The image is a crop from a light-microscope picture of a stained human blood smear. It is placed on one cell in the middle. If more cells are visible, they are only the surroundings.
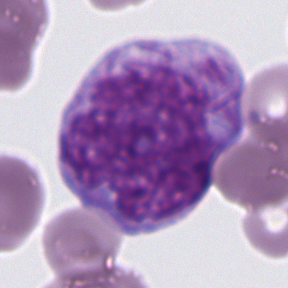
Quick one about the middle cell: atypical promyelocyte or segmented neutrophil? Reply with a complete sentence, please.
This crop's central cell is an atypical promyelocyte.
